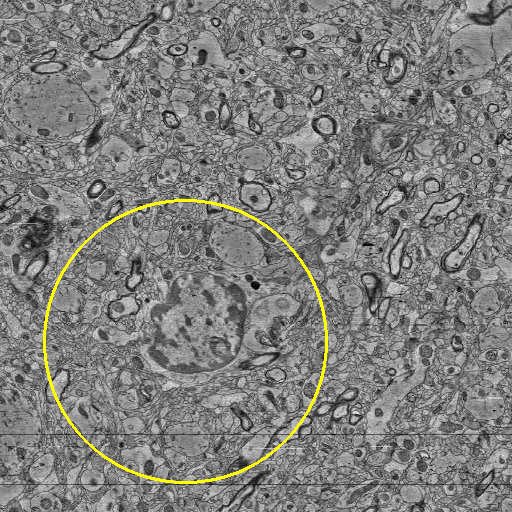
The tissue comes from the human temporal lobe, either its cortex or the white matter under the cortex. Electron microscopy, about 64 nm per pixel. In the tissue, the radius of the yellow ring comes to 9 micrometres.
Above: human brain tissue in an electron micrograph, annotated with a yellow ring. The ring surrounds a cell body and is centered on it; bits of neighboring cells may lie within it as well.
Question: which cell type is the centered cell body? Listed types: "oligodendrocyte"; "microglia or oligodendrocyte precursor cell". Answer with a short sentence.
The centered cell body is a microglial cell or oligodendrocyte precursor cell.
